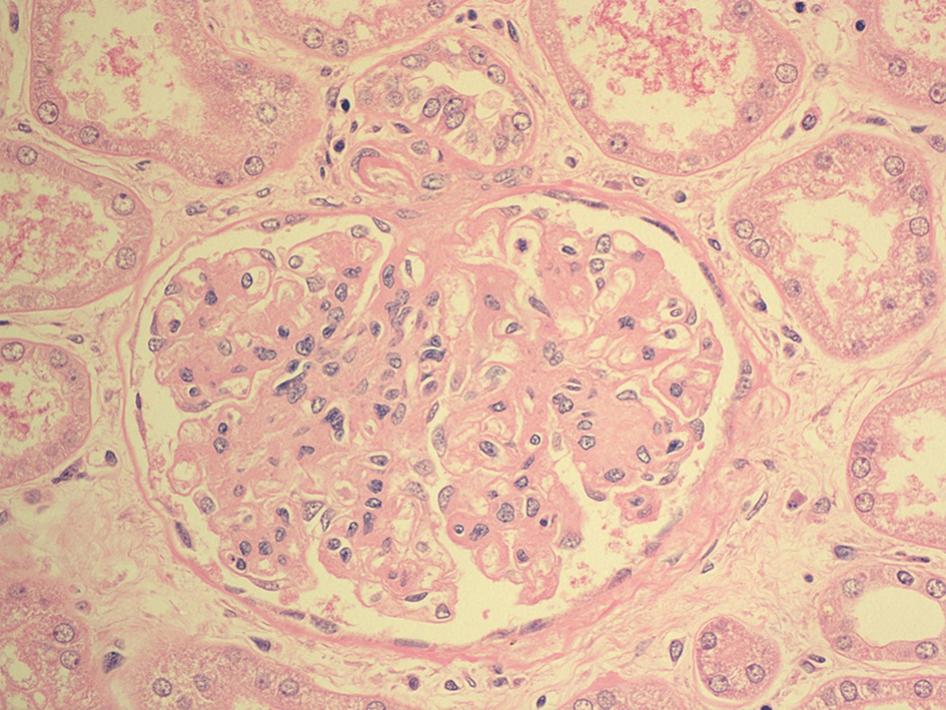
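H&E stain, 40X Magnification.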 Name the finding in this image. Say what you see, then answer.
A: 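The glomerular lobules are filled with abundant pale pink matrix between the nuclei. Few open capillary lumens are visible within the tuft.
Hence: Diffuse Increase in Mesangial Matrix.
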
